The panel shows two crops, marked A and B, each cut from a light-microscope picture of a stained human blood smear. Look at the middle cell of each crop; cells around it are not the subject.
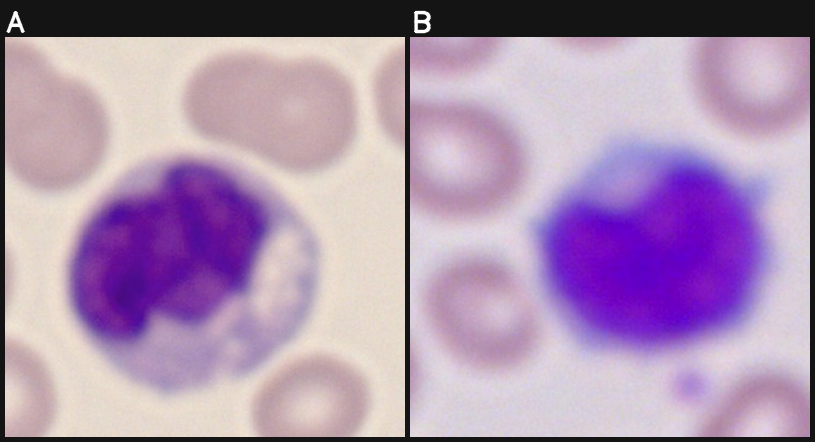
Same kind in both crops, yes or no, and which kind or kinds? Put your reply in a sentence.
No, the cell at the middle of crop A is a monocyte, while crop B centres on a lymphocyte.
